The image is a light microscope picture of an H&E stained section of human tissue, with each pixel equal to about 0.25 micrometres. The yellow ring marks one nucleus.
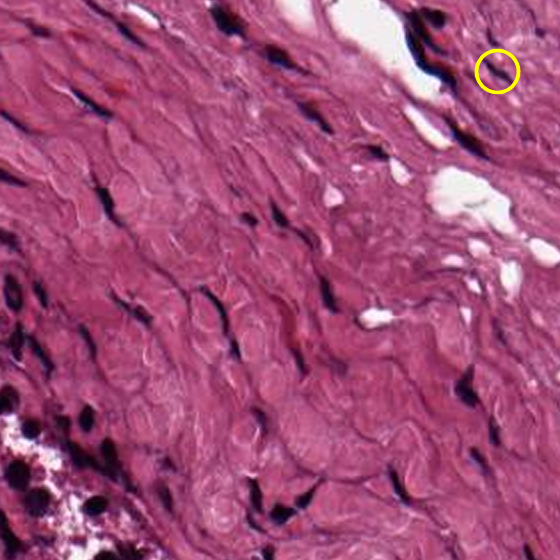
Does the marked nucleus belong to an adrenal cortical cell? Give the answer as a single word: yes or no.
no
